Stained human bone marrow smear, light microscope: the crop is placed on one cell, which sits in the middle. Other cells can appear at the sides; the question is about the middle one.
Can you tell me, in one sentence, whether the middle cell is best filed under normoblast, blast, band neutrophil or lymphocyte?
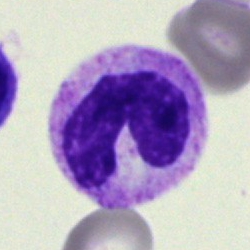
The centrally located cell in the crop is a band neutrophil.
